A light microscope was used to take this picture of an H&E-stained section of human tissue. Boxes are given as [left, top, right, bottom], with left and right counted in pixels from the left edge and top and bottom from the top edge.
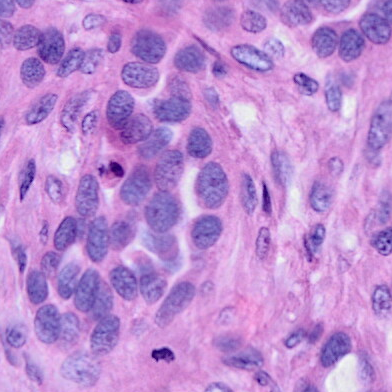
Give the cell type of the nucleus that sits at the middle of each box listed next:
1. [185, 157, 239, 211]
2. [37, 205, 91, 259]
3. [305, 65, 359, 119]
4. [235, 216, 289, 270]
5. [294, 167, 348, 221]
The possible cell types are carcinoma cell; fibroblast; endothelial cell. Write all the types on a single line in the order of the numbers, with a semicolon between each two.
carcinoma cell; carcinoma cell; fibroblast; fibroblast; fibroblast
